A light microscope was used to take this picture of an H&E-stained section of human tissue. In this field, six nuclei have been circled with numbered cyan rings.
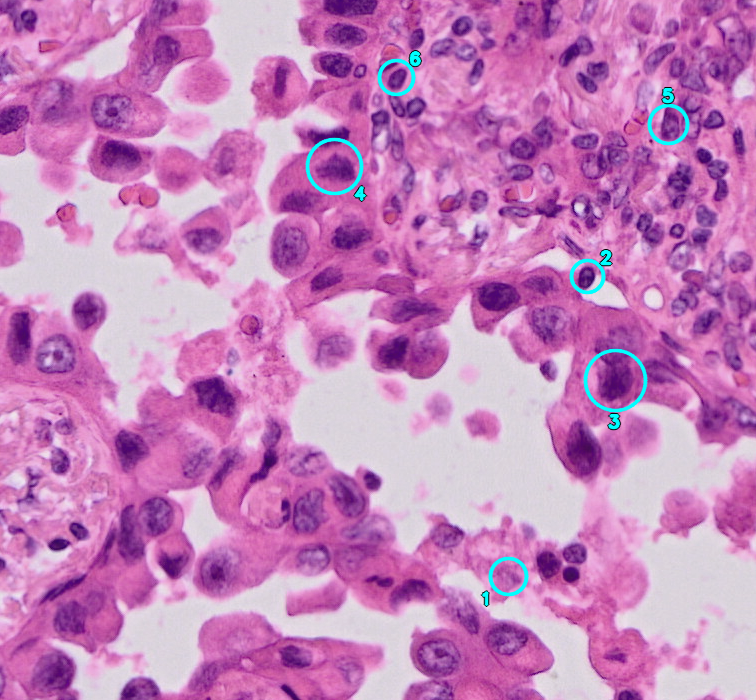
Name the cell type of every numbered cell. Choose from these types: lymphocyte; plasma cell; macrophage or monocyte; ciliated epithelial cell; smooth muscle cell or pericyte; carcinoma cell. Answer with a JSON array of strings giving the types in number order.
["macrophage or monocyte", "lymphocyte", "carcinoma cell", "carcinoma cell", "plasma cell", "lymphocyte"]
